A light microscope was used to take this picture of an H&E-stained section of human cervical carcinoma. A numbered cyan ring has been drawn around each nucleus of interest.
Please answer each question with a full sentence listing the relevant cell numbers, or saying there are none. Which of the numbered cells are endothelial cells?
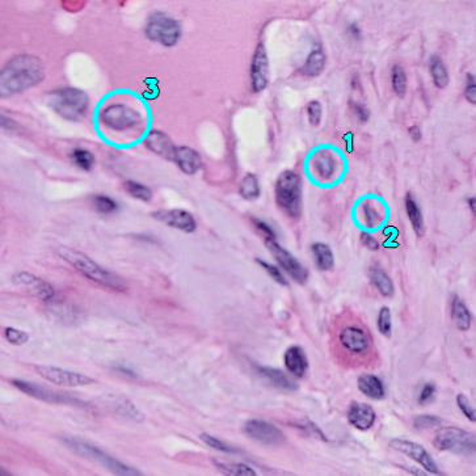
The cell labelled 3 is an endothelial cell, while the remaining numbered cells are not.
